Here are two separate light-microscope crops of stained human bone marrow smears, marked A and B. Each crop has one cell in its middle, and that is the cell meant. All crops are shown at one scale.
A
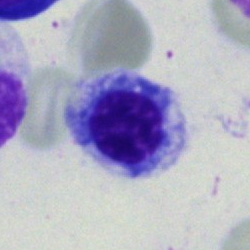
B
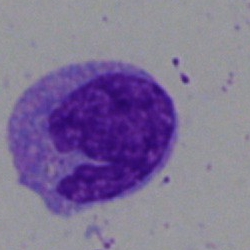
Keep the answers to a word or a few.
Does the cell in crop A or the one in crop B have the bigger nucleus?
B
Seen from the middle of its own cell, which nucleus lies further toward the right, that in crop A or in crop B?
B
